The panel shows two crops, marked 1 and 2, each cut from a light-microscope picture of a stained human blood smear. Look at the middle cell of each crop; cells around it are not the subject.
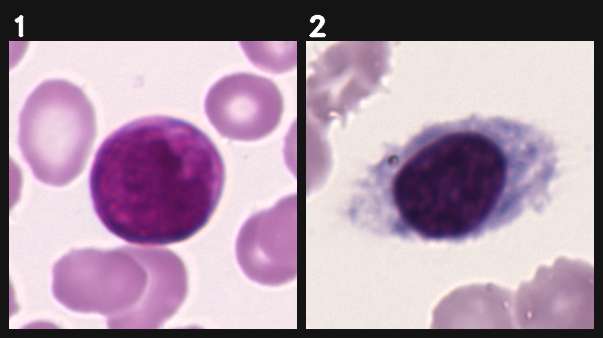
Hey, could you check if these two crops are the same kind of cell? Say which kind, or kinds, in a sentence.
No, crop 1 is where a myeloblast is shown, and crop 2 is where a hairy cell is shown.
